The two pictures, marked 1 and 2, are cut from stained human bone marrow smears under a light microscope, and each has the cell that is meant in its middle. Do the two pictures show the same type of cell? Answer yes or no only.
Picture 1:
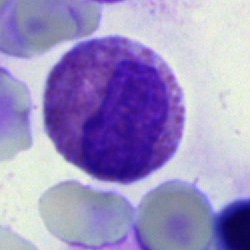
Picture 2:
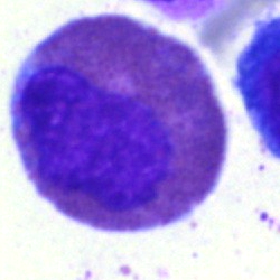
yes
